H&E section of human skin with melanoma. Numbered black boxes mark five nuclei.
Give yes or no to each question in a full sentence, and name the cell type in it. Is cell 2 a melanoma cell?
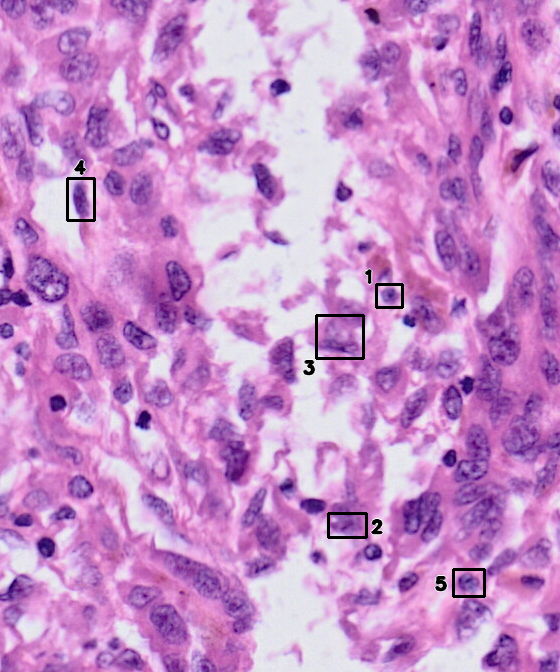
Yes, what number 2 marks is a melanoma cell.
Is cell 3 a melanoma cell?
Yes, cell 3 among the marked cells is a melanoma cell.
